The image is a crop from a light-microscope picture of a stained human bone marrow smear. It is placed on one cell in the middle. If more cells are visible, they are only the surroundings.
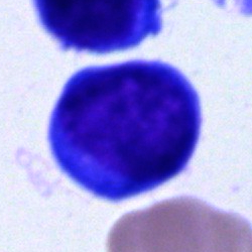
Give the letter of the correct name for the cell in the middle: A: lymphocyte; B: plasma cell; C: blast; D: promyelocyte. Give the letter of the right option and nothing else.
C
